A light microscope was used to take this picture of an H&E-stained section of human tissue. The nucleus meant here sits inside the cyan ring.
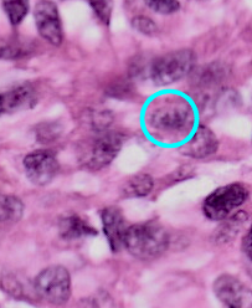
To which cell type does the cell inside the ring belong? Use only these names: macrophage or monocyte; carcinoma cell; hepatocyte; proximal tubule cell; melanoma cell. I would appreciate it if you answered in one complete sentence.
In this tissue sample, the cell inside the ring is a melanoma cell.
